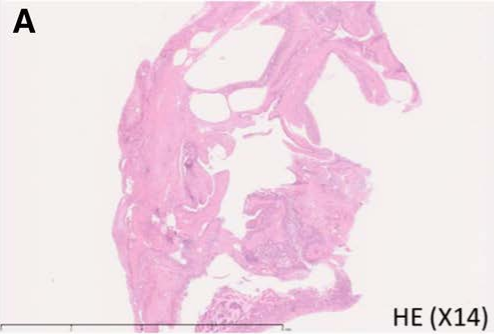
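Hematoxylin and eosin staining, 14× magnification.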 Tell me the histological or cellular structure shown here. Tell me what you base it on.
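The spaces are separated by thin pink tissue septa. That points to this answer: multiple cystic structures.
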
